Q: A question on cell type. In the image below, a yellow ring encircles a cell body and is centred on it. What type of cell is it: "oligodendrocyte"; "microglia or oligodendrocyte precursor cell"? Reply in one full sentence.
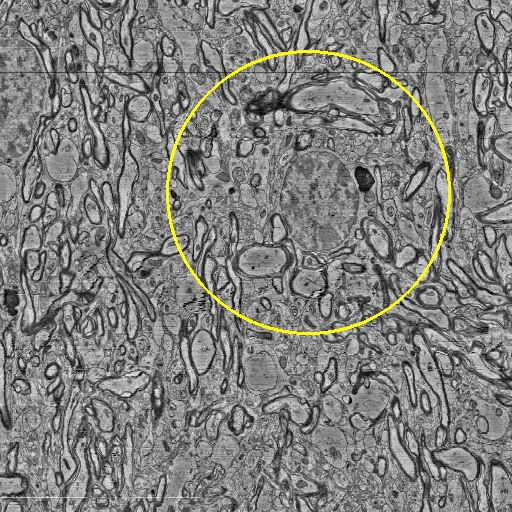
It is an oligodendrocyte whose cell body sits at the centre of the yellow ring in the image.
